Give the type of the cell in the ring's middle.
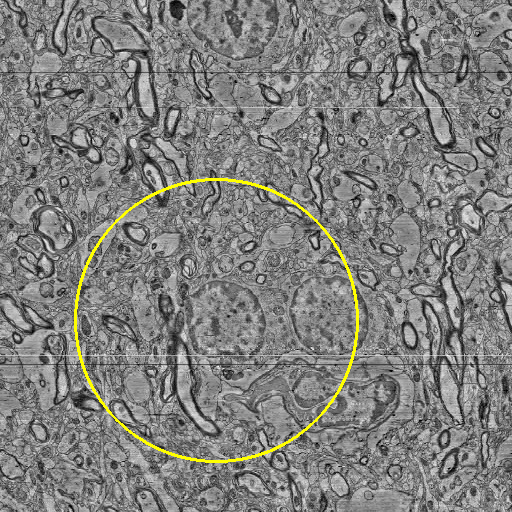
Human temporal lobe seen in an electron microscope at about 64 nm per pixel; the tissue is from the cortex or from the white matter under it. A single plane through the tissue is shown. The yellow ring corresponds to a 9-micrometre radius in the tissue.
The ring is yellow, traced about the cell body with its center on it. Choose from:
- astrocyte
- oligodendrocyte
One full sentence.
Here, an oligodendrocyte is the cell lying at the center of the yellow ring.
